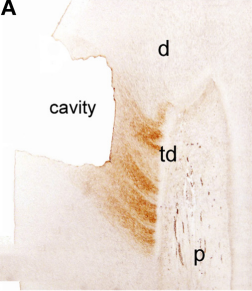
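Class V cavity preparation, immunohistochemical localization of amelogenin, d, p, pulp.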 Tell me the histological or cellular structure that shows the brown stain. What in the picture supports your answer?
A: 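The brown stain runs as fine parallel streaks through the dentin. The stained streaks lie between the cavity and the pulp.
Answer: dentinal tubuli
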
